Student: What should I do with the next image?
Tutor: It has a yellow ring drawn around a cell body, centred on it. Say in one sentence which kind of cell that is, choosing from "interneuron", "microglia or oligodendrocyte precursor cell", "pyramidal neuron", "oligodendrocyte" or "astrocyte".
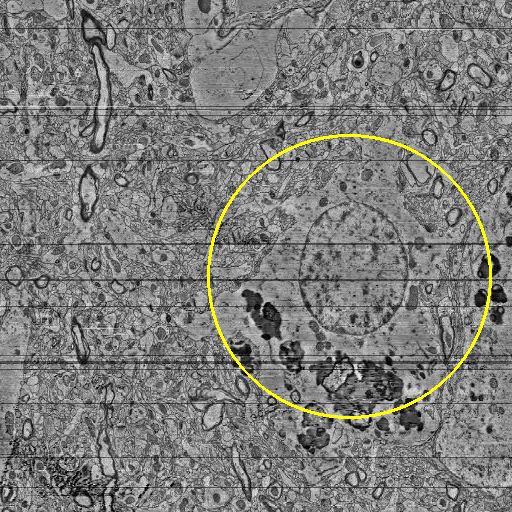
The ring's centre is occupied by an astrocyte.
